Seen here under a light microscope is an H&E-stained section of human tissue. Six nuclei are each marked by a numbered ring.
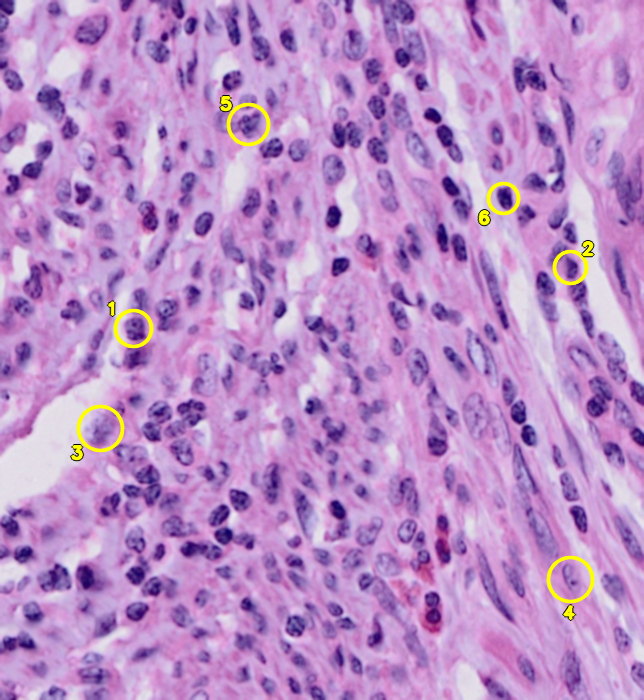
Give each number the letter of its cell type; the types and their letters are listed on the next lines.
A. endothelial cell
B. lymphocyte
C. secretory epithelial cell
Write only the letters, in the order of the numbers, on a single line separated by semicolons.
B; B; A; A; B; B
